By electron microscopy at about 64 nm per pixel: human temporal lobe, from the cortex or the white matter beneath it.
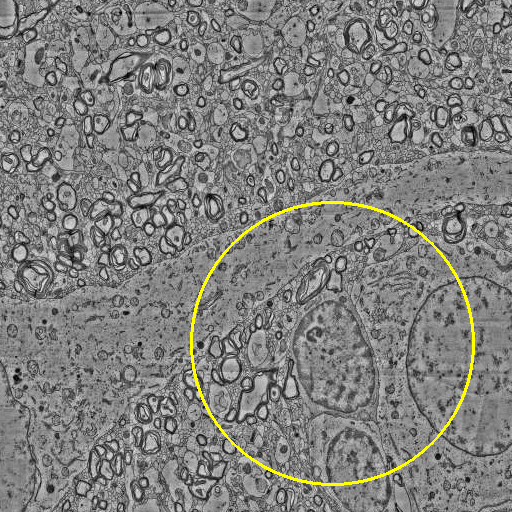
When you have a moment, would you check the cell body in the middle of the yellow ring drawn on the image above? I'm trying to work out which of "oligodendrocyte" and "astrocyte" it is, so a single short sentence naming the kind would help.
This cell body belongs to an oligodendrocyte.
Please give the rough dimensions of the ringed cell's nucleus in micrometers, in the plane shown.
In this plane, roughly 7 by 6 micrometres.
